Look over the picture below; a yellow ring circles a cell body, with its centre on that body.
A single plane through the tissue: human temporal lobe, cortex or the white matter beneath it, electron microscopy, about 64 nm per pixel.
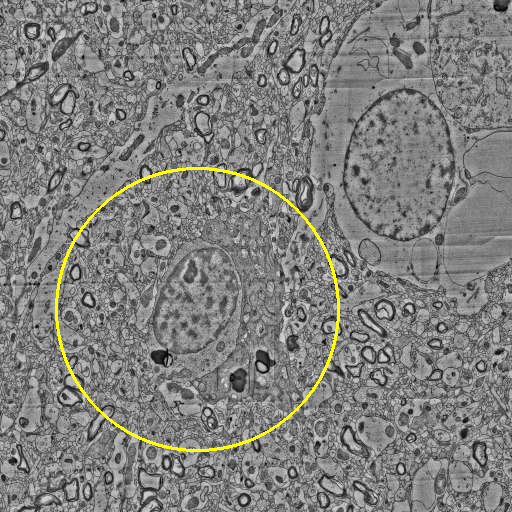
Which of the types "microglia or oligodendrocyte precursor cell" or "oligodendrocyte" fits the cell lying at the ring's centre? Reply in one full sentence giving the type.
The picture shows an oligodendrocyte at the centre of the yellow ring.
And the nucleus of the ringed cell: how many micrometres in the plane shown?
Approximately 7 x 5 micrometres in this plane.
